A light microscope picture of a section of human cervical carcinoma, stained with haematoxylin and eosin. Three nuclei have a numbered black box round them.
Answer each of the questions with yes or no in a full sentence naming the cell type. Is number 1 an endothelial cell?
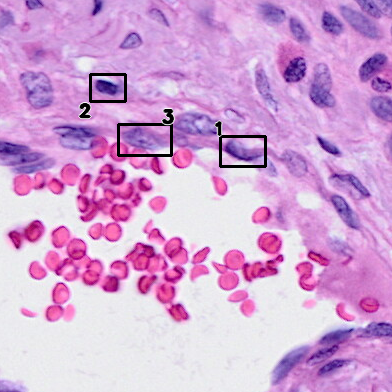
Yes, on this slide, the cell with number 1 is an endothelial cell.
